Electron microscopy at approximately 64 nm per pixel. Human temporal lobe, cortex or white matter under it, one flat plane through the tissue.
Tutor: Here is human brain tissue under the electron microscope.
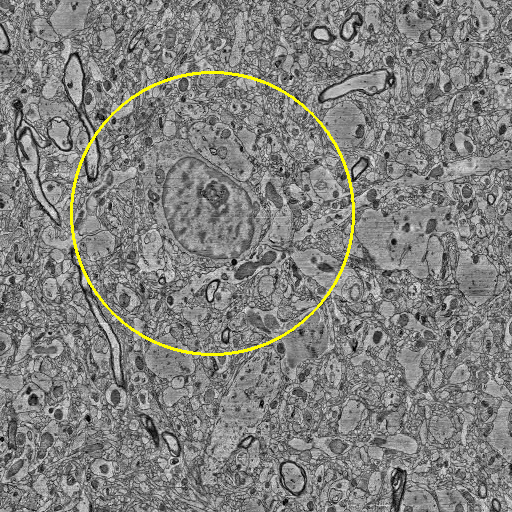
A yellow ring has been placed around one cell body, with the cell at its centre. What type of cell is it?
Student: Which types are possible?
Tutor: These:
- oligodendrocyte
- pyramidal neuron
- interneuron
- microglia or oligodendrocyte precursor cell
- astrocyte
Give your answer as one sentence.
What the ring picks out here is an oligodendrocyte.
